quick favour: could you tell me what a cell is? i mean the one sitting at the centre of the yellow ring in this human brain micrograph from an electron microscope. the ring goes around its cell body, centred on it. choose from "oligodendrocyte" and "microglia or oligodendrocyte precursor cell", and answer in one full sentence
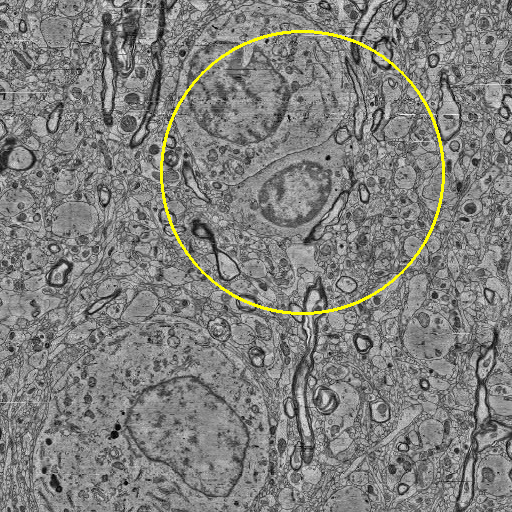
That's an oligodendrocyte, the cell sitting at the centre of the yellow ring.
